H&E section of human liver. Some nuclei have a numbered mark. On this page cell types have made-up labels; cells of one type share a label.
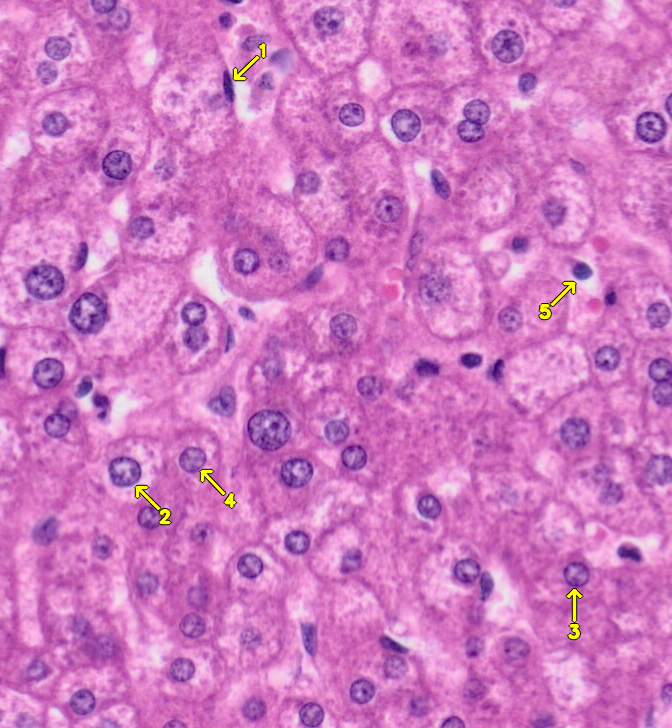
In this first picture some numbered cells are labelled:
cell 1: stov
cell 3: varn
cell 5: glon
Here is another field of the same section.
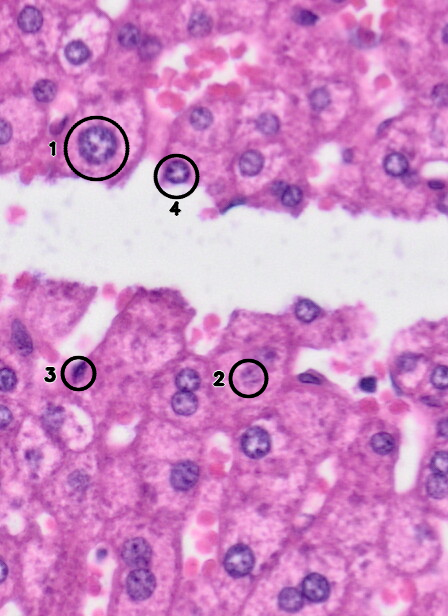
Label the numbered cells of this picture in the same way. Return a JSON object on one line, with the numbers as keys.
{"1": "varn", "2": "varn", "3": "stov", "4": "varn"}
